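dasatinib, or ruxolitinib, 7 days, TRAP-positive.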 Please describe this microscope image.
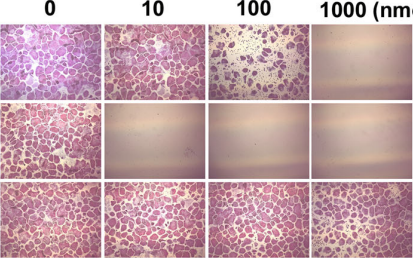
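This is a grid of low-power views of culture wells, and in many of them the floor is covered by very large, flat cells stained pink to purple. These are osteoclasts. Each is far bigger than an ordinary cell and roughly polygonal. They lie packed edge to edge like paving stones, separated by thin pale borders. In some fields the cells are fewer and smaller, with pale gaps between them. In other fields no stained cells can be seen at all, and the well floor looks smooth and pale.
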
